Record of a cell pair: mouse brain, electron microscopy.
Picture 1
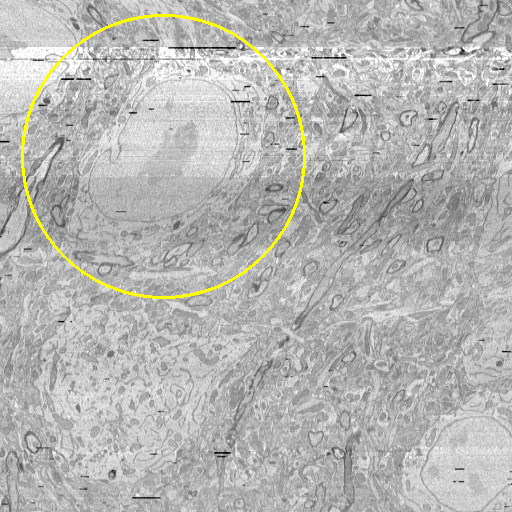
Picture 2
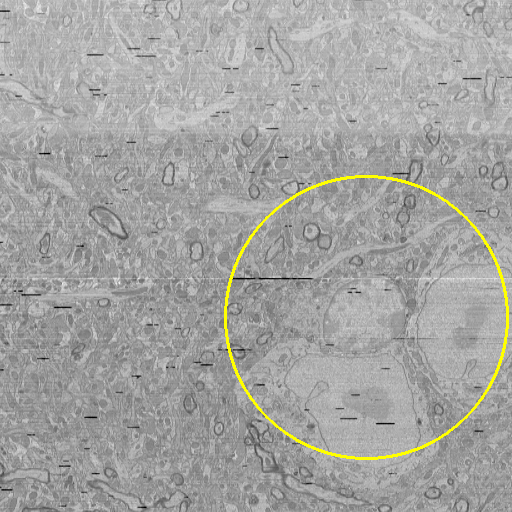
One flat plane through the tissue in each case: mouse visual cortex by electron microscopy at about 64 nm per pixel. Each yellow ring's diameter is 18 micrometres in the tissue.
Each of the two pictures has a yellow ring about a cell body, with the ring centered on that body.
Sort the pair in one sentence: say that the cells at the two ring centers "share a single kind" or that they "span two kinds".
The cells centered in the rings of Pictures 1 and 2 span two kinds.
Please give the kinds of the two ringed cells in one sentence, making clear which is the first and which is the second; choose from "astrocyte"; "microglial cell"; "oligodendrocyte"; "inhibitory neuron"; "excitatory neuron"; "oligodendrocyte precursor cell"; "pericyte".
In the second picture the ringed cell is an oligodendrocyte; in the first it is an excitatory neuron.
